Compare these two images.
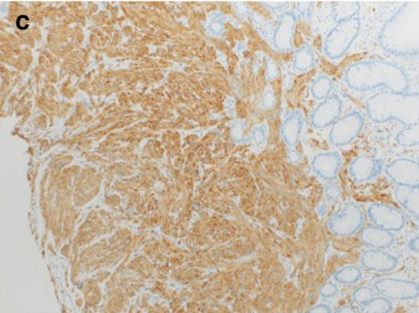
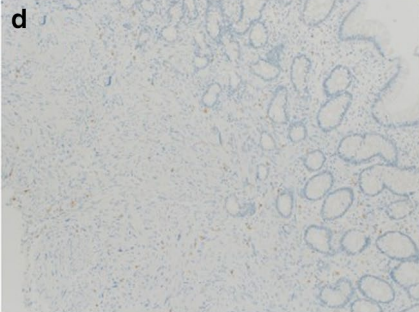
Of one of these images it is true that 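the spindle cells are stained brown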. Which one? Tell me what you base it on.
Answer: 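Second image: the spindle-cell area is pale blue with almost no brown. First image: the spindle-cell area is diffusely deep brown.
Answer: the first image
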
